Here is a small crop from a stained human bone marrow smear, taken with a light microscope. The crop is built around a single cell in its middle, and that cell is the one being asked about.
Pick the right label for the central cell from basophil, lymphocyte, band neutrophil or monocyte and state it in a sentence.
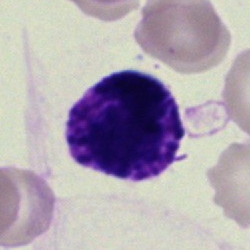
Looking at the middle of the crop, the cell there is a basophil.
